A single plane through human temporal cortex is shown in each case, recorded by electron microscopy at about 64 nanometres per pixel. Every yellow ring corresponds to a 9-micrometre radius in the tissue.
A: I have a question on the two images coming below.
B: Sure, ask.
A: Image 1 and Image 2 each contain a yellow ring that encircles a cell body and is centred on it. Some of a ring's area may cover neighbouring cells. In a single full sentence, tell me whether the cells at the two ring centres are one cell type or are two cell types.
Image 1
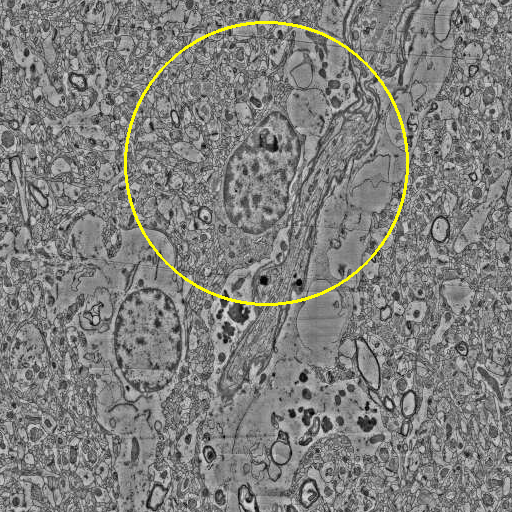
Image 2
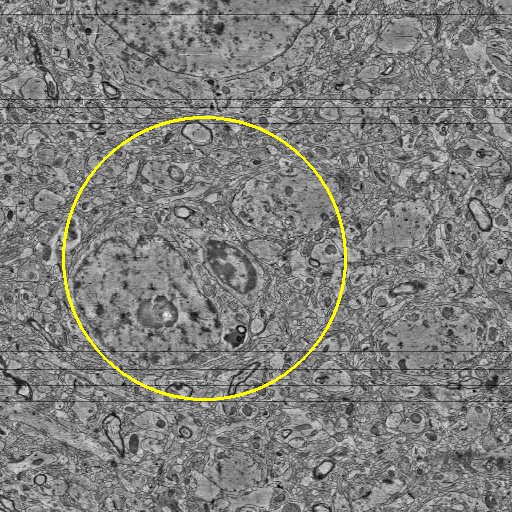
As for the ring-centre cells, the one in Image 1 and the one in Image 2 are two cell types.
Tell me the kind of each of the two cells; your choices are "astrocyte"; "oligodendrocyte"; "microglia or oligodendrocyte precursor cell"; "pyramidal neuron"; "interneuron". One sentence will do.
The ringed cell is an oligodendrocyte in the first picture and a microglial cell or oligodendrocyte precursor cell in the second picture.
